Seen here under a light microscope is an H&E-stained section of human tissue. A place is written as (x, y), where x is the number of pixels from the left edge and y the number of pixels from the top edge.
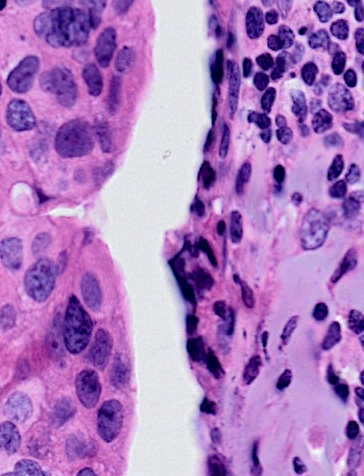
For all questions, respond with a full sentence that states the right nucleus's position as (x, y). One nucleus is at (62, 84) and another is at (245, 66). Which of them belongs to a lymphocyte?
The nucleus that sits at (245, 66) is the nucleus of a lymphocyte.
